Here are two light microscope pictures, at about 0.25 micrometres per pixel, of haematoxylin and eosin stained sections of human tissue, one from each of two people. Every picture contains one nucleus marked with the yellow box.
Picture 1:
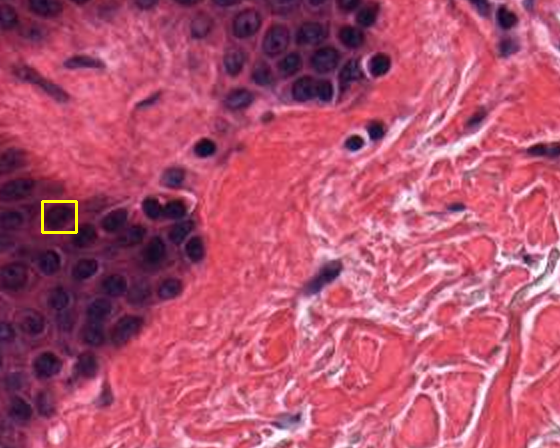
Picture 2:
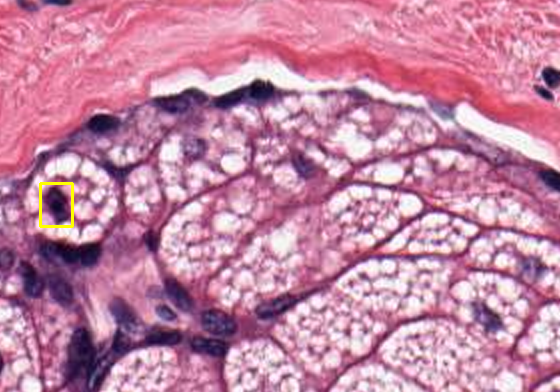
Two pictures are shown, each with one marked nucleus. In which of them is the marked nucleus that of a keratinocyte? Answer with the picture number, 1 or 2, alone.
1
